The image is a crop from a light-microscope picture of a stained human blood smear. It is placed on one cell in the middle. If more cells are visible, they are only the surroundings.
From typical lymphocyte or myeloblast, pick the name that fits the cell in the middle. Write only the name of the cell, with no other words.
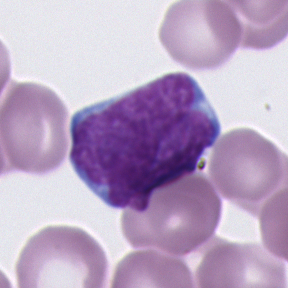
myeloblast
